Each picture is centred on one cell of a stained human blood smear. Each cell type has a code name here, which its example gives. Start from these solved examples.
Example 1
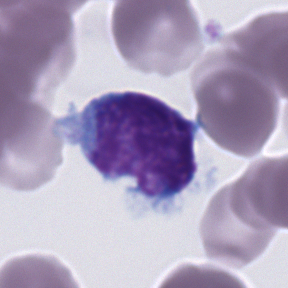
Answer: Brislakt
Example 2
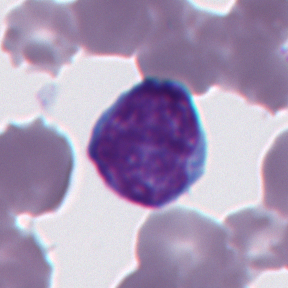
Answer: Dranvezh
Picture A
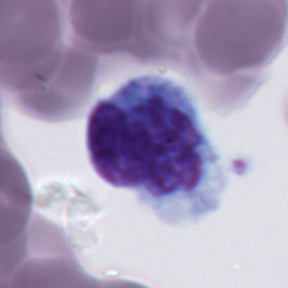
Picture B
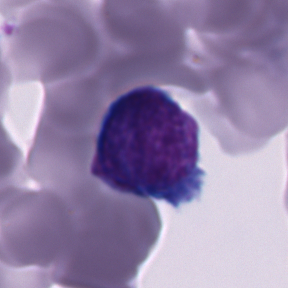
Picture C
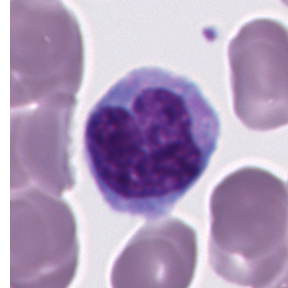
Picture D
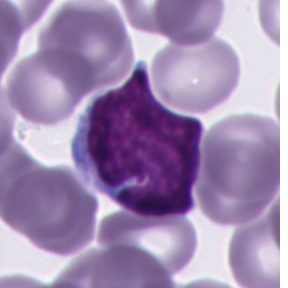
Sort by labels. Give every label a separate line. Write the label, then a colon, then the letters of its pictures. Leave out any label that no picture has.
Brislakt: A, C
Dranvezh: B, D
